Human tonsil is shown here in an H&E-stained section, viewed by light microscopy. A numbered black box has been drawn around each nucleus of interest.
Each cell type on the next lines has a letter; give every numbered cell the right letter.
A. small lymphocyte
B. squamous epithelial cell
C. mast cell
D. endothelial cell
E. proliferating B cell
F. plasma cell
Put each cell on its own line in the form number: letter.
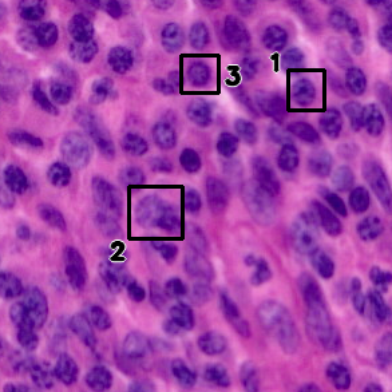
1: F
2: B
3: F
